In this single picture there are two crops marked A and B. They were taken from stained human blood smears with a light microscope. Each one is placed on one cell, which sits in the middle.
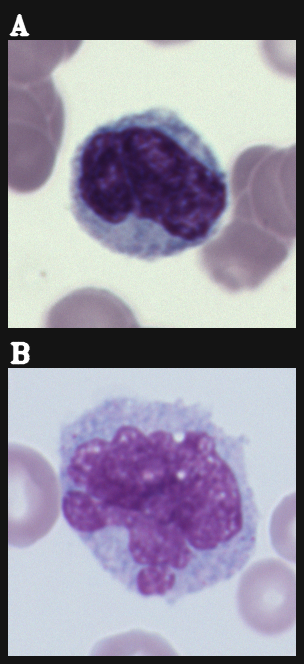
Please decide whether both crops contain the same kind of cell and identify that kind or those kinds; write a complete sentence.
Yes, monocytes are depicted in both crops.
